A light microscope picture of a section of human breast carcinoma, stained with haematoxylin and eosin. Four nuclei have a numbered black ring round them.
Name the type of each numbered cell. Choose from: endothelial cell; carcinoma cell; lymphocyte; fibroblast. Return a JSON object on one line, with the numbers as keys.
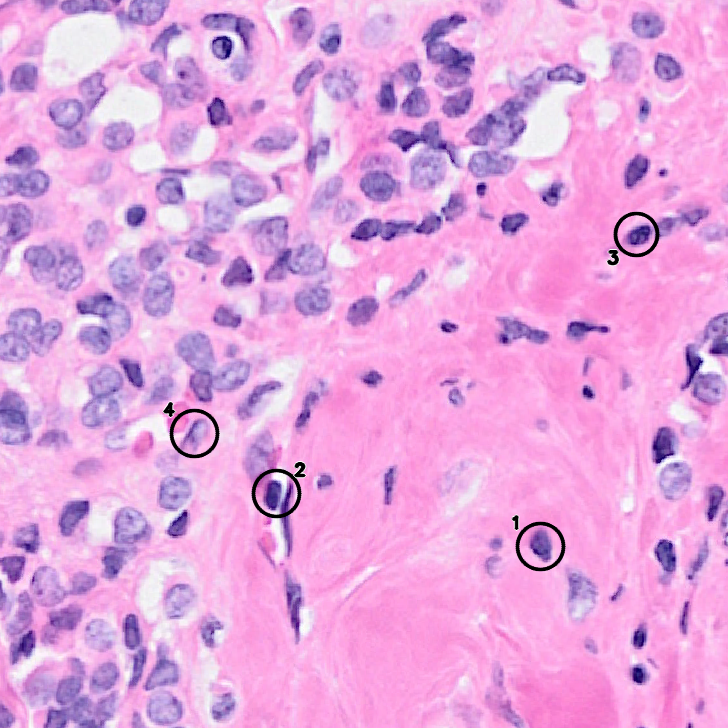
{"1": "lymphocyte", "2": "endothelial cell", "3": "lymphocyte", "4": "endothelial cell"}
